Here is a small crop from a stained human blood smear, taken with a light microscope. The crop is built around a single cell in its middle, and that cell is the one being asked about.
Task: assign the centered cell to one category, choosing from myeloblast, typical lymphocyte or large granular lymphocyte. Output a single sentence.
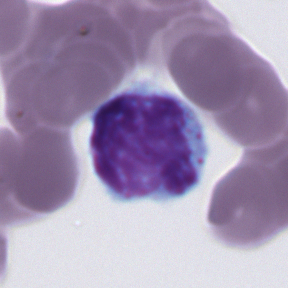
In the middle of this smear crop, the cell is a typical lymphocyte.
